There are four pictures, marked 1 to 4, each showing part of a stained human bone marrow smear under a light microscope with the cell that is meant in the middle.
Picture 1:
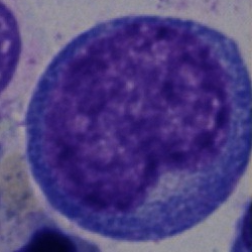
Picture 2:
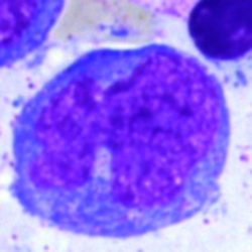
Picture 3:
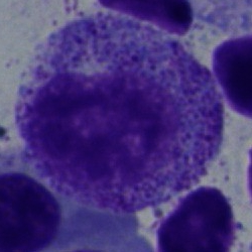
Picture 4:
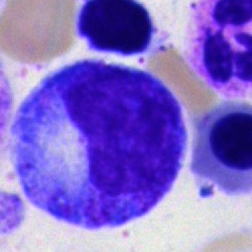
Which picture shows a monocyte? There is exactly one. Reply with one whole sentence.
Picture 2 shows the monocyte.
